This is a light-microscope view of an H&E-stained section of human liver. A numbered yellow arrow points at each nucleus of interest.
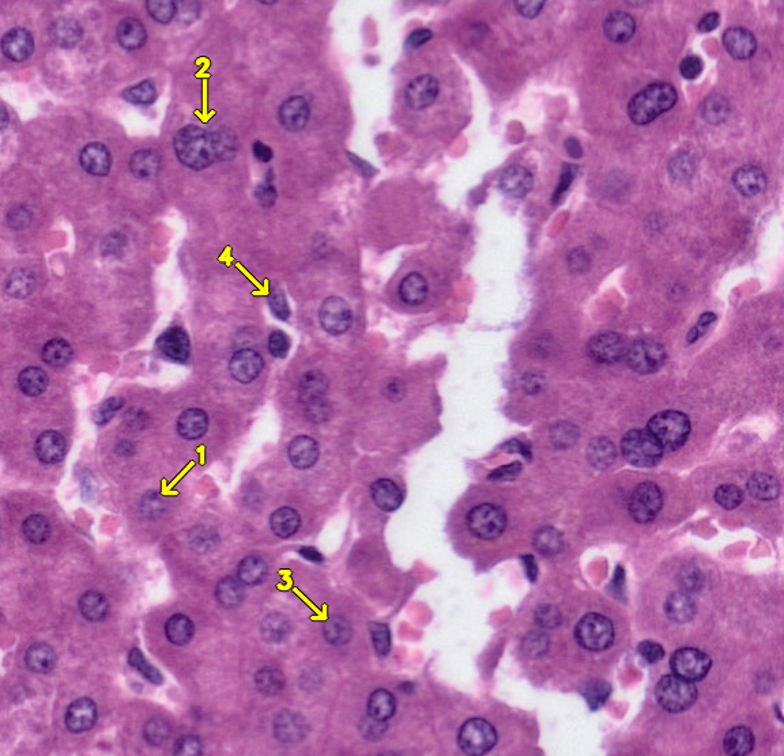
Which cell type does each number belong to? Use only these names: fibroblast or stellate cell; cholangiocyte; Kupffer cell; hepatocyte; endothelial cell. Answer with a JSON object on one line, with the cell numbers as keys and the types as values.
{"1": "hepatocyte", "2": "hepatocyte", "3": "hepatocyte", "4": "Kupffer cell"}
